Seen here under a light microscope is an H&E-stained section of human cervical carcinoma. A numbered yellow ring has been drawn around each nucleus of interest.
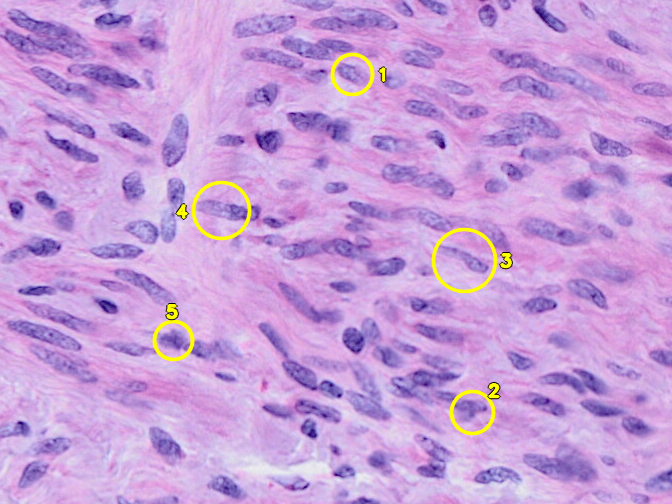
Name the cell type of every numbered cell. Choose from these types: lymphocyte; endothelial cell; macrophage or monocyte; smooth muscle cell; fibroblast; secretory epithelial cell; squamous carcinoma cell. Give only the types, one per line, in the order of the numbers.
smooth muscle cell
fibroblast
smooth muscle cell
smooth muscle cell
fibroblast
